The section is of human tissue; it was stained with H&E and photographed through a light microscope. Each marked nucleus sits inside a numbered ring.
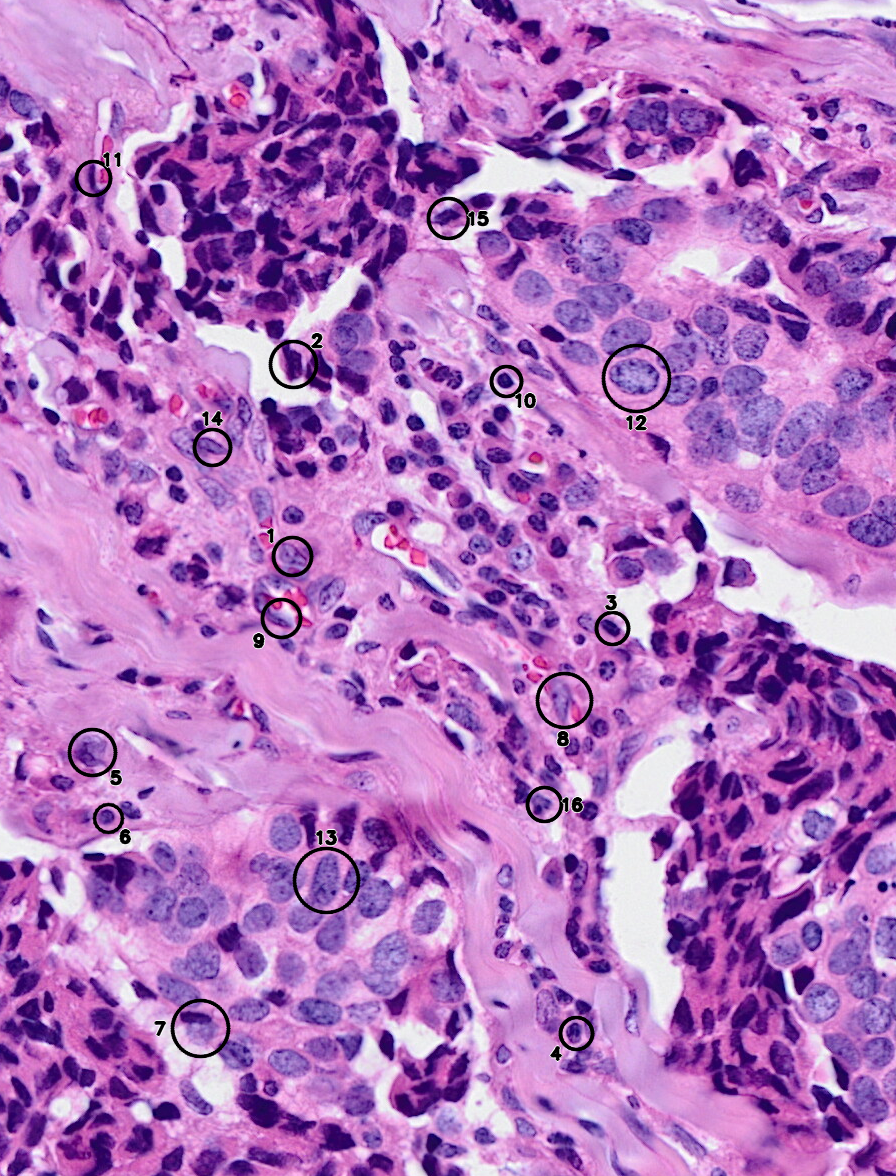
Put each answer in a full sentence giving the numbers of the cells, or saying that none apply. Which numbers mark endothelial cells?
The cells carrying the numbers 1, 8, 9, 11 and 14 are endothelial cells.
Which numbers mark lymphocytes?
In this section, the cells labelled 3, 4, 10 and 16 are lymphocytes.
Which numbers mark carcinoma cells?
Cells 2, 7, 12, 13 and 15 are carcinoma cells by cell type.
